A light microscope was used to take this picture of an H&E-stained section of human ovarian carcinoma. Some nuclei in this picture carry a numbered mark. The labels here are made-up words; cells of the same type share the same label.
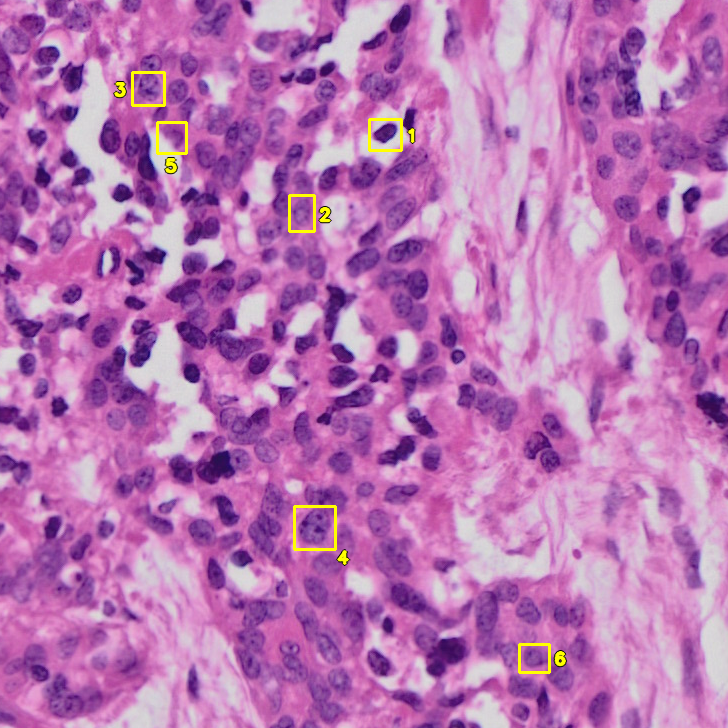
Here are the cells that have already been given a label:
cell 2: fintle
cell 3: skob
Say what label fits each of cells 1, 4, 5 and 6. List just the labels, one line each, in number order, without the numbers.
fintle
skob
fintle
fintle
